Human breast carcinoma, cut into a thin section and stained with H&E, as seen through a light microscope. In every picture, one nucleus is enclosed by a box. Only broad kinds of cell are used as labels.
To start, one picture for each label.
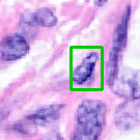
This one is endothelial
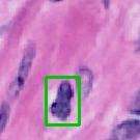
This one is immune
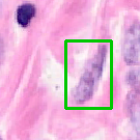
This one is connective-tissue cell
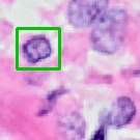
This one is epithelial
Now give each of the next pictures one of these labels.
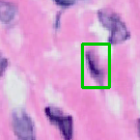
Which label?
connective-tissue cell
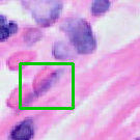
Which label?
endothelial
